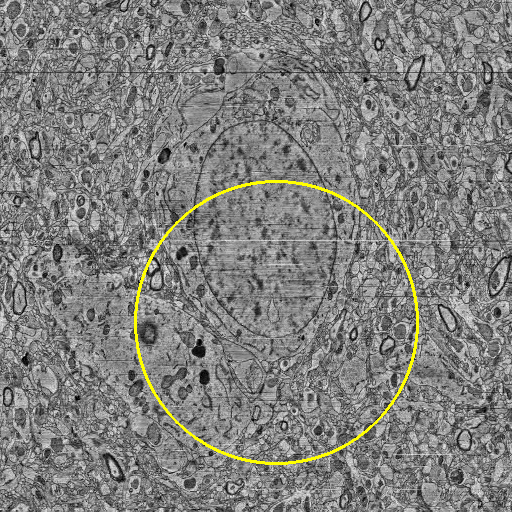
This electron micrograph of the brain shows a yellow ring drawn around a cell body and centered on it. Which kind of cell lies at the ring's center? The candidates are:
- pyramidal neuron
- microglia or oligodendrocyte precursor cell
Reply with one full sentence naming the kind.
The cell lying at the ring's center in this micrograph is a pyramidal neuron.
